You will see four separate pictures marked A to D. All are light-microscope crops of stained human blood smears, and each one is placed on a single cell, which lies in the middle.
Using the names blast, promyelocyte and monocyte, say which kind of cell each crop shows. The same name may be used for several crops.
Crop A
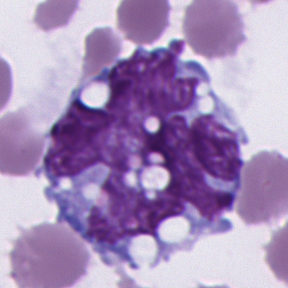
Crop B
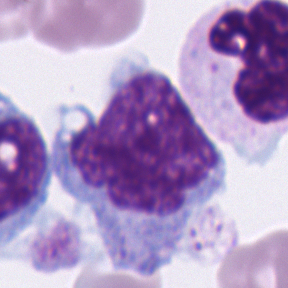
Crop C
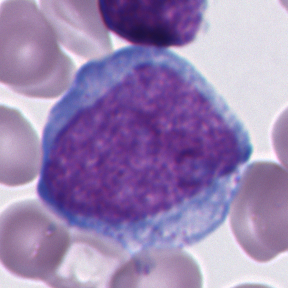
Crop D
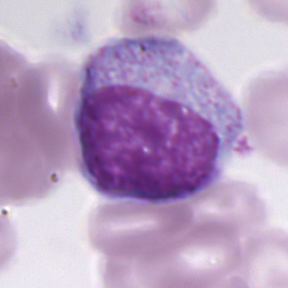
A: monocyte
B: monocyte
C: promyelocyte
D: promyelocyte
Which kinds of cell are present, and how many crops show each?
monocyte: 2
promyelocyte: 2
